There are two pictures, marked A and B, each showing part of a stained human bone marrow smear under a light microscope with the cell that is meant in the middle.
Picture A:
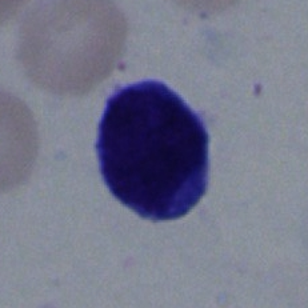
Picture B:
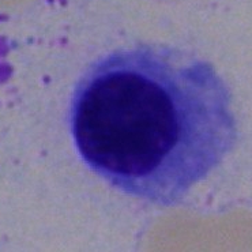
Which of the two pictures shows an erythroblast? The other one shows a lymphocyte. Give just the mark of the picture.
B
